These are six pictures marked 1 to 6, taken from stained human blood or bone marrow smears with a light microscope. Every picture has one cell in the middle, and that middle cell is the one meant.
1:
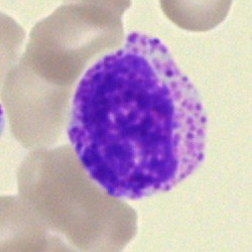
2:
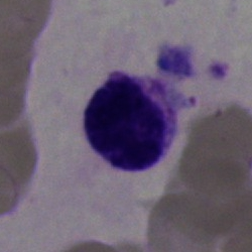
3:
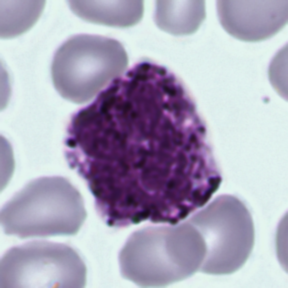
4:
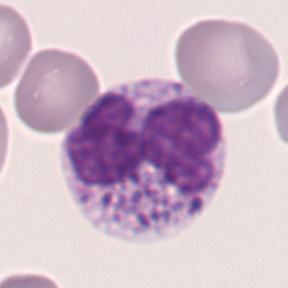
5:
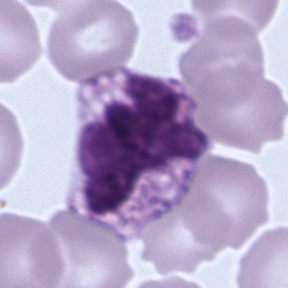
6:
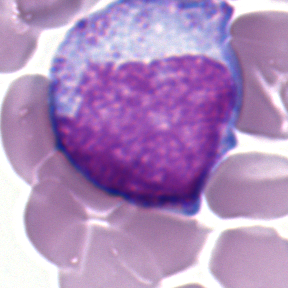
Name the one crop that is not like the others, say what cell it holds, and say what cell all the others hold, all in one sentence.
Every crop but one shows basophils; the exception, crop 6, shows a promyelocyte.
